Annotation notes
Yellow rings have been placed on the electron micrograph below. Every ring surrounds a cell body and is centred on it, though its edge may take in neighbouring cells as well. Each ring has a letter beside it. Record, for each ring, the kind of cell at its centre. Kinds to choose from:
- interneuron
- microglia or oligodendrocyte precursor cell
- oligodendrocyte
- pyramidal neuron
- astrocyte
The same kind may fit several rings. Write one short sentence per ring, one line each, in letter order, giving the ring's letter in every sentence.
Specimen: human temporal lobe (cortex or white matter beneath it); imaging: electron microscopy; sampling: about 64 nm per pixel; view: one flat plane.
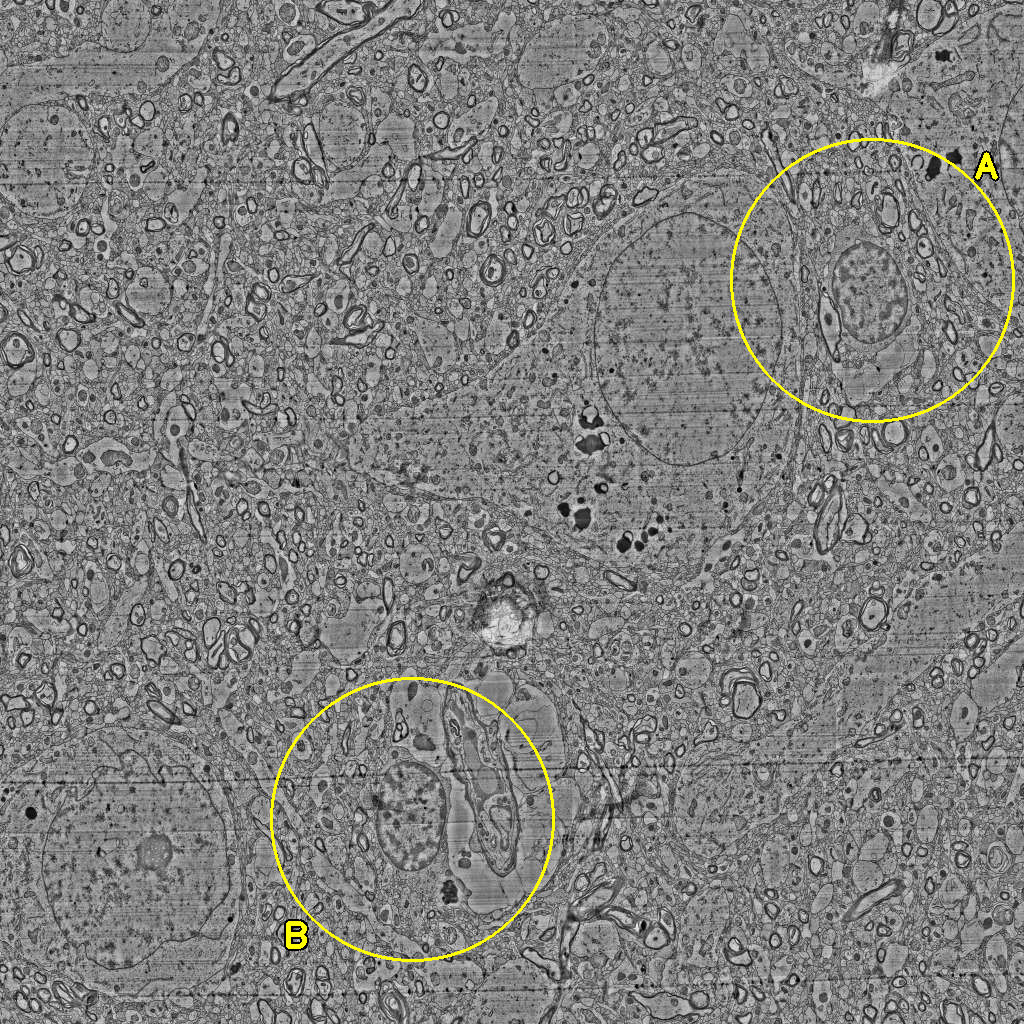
Ring A surrounds an oligodendrocyte.
Ring B surrounds an oligodendrocyte.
